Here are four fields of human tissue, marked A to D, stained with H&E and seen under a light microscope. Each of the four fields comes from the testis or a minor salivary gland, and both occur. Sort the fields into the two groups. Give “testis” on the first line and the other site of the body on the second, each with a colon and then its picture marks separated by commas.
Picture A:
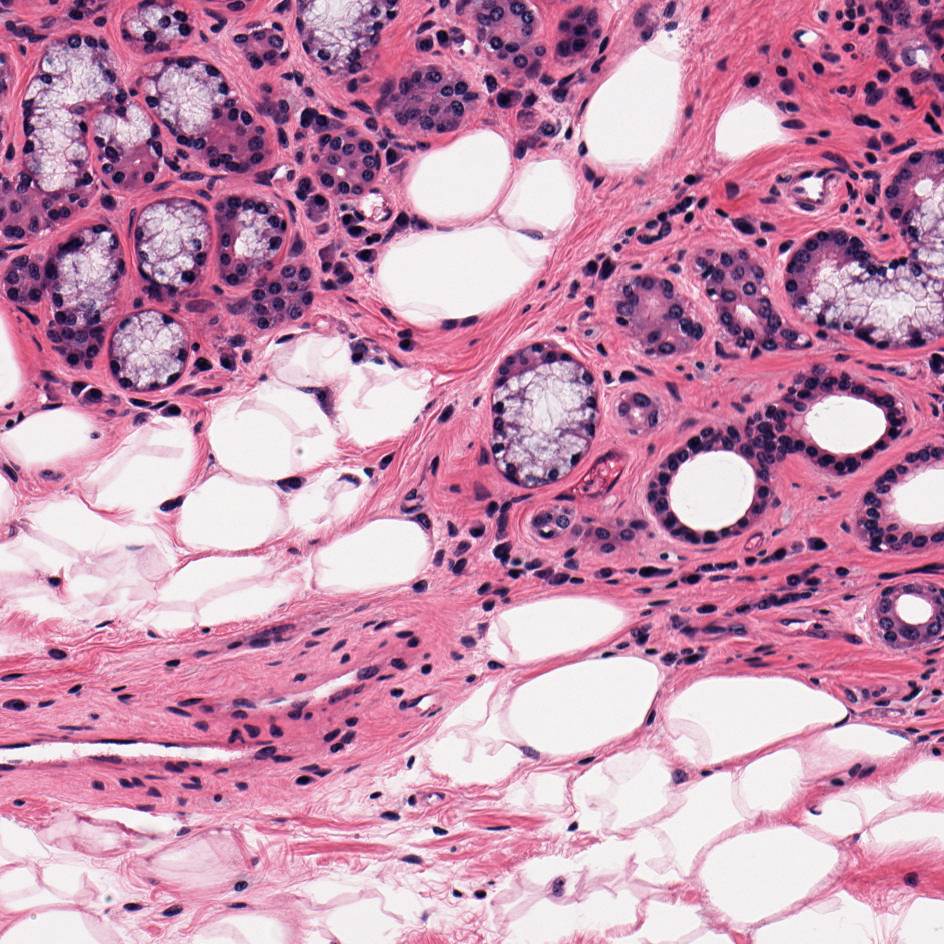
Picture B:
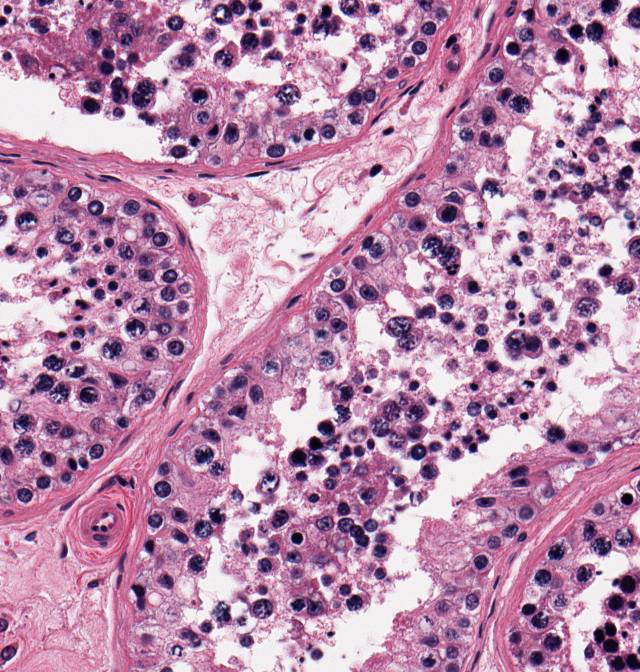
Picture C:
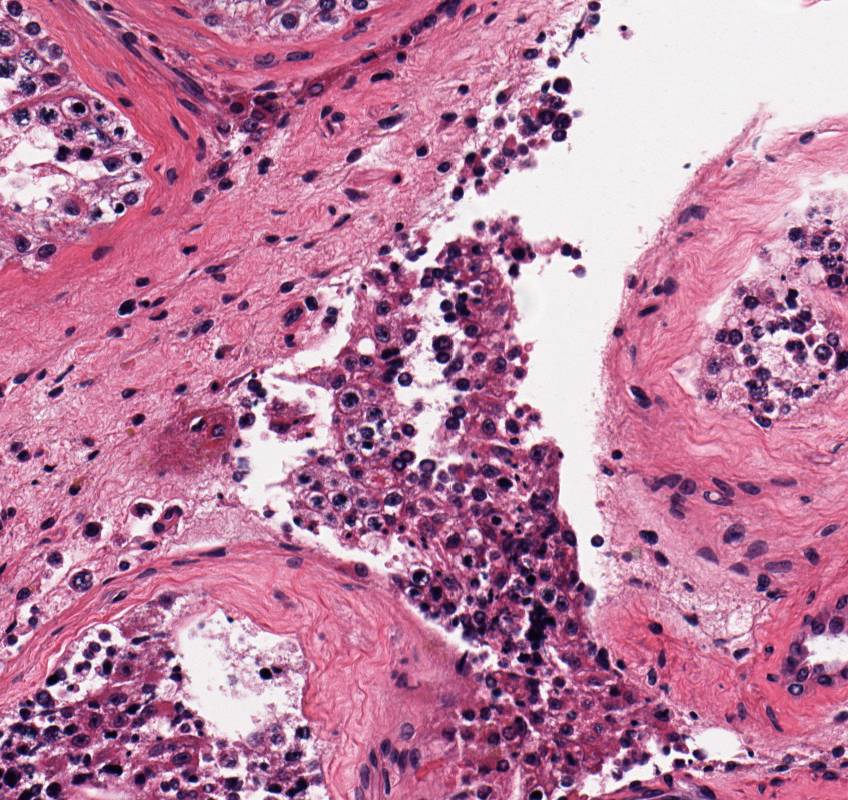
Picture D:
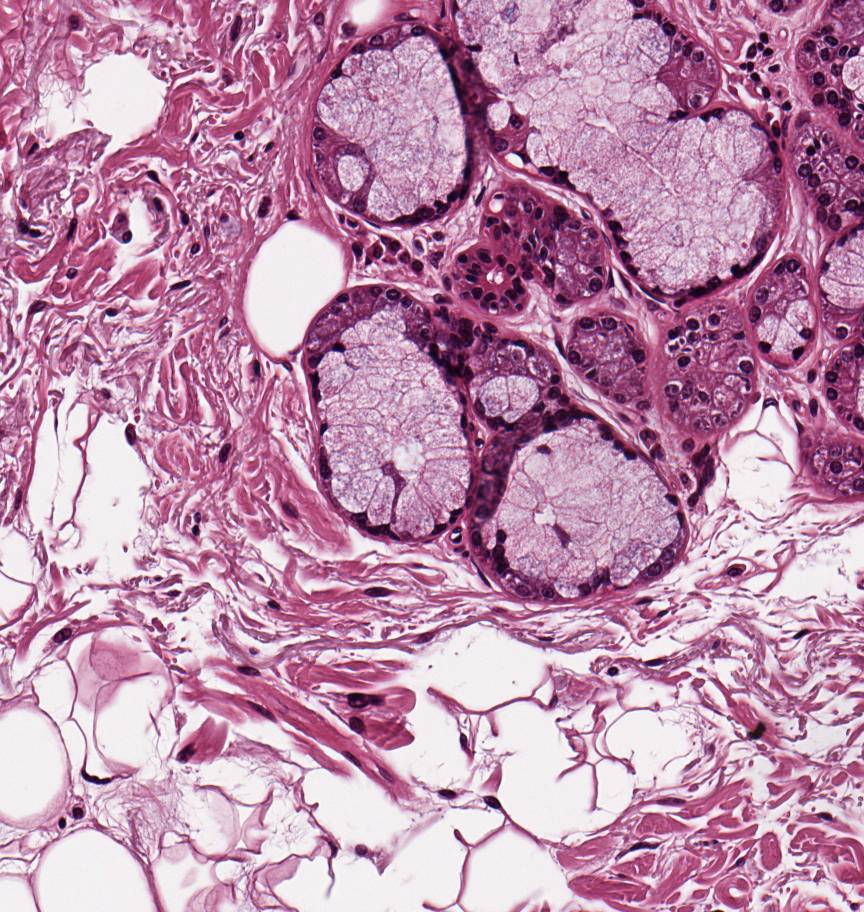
testis: B, C
minor salivary gland: A, D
